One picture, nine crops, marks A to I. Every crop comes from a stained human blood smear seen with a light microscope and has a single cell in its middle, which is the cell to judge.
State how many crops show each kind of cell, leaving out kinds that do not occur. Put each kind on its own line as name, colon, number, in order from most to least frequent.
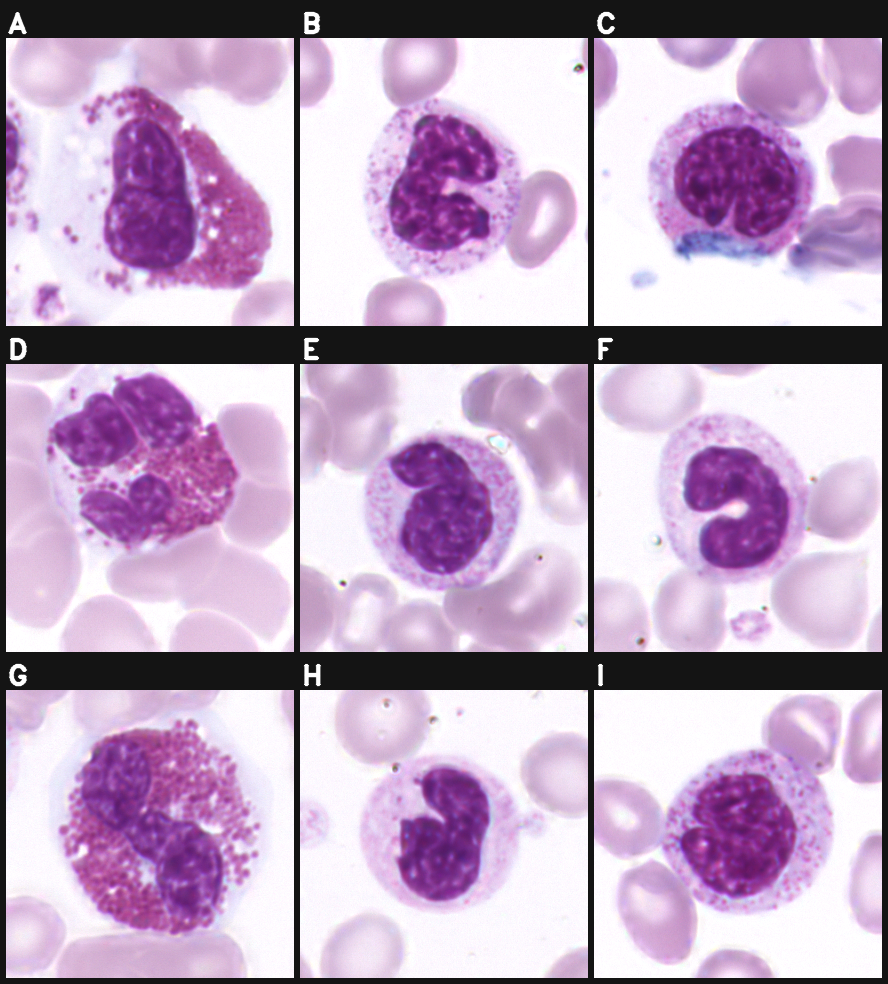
band neutrophil: 6
eosinophil: 3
